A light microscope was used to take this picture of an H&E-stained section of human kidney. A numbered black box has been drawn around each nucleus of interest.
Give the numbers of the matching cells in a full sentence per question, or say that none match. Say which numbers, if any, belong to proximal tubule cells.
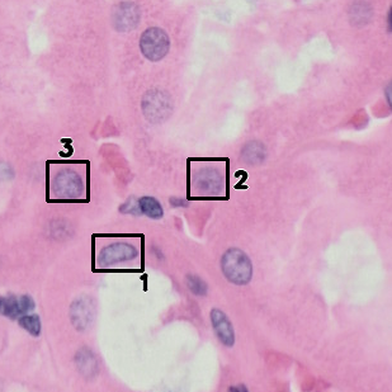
The cells with the number labels 2 and 3 are proximal tubule cells.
